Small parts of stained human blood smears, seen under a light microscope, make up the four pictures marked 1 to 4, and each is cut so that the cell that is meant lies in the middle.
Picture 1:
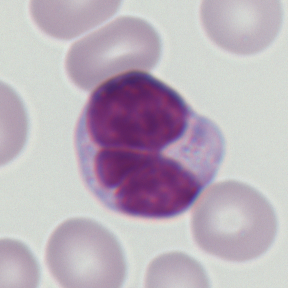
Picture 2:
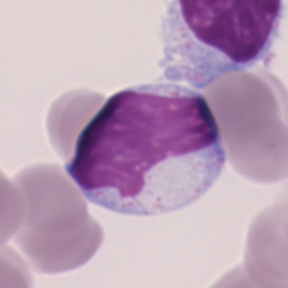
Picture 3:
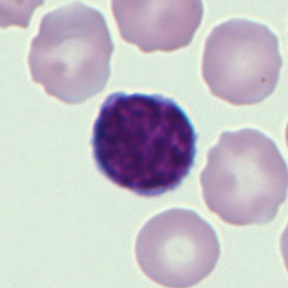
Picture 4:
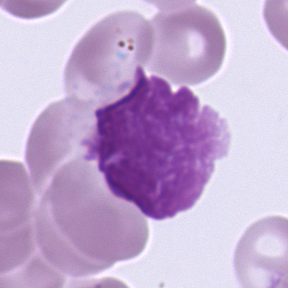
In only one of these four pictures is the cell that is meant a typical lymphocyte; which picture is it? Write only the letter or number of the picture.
3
